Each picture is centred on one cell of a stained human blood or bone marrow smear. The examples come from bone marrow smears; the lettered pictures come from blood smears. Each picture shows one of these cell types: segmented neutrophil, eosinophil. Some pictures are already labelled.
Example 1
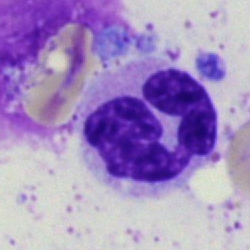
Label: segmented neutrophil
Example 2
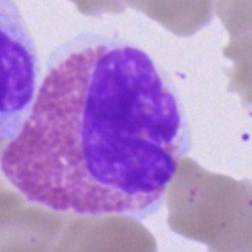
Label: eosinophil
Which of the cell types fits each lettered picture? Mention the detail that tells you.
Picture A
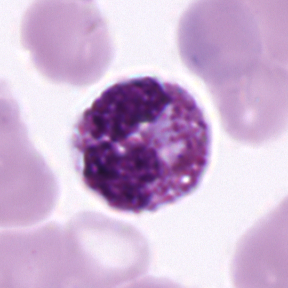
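eosinophil. Reason: Coarse purple granules are scattered through the cytoplasm.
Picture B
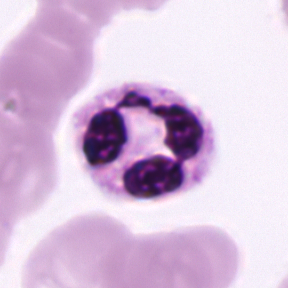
segmented neutrophil. Reason: Fine, faint violet-pink granules are scattered through the cytoplasm.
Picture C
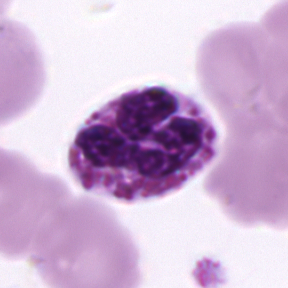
eosinophil. Reason: The cytoplasm holds coarse reddish-purple granules.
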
